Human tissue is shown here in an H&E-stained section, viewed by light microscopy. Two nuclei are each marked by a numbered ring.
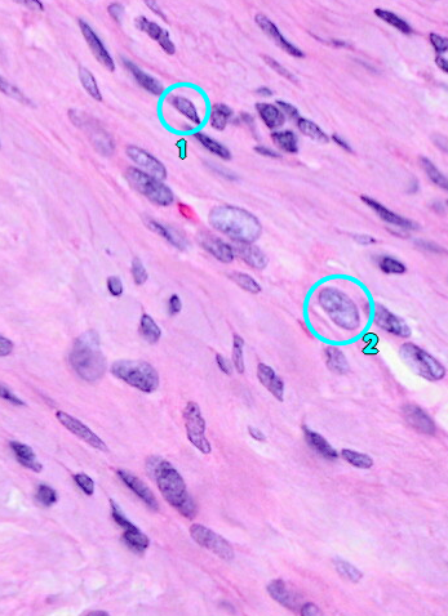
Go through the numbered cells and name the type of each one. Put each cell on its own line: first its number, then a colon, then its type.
1: fibroblast
2: endothelial cell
